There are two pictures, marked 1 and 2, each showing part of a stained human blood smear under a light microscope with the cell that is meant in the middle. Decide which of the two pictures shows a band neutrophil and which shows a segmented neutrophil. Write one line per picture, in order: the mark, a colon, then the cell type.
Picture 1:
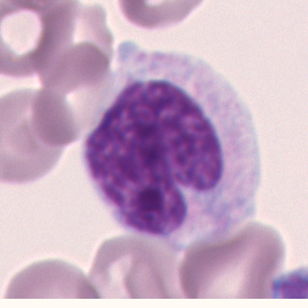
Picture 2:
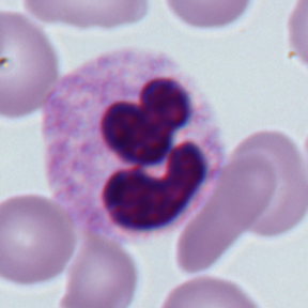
1: band neutrophil
2: segmented neutrophil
